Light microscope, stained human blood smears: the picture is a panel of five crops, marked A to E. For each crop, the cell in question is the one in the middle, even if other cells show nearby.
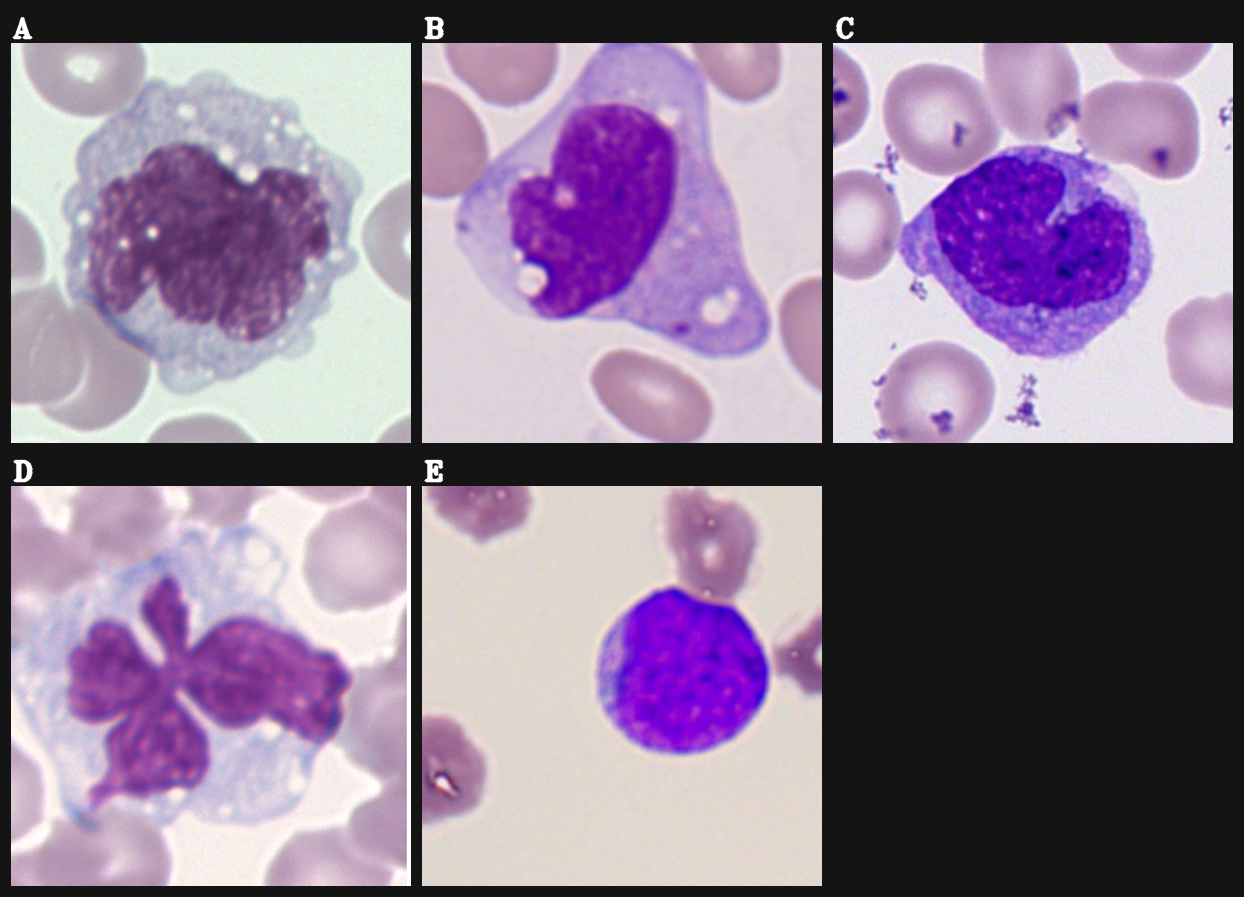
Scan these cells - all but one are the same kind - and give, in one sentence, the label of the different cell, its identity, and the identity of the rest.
Crop E is a blast, the one exception to the monocytes of the other crops.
